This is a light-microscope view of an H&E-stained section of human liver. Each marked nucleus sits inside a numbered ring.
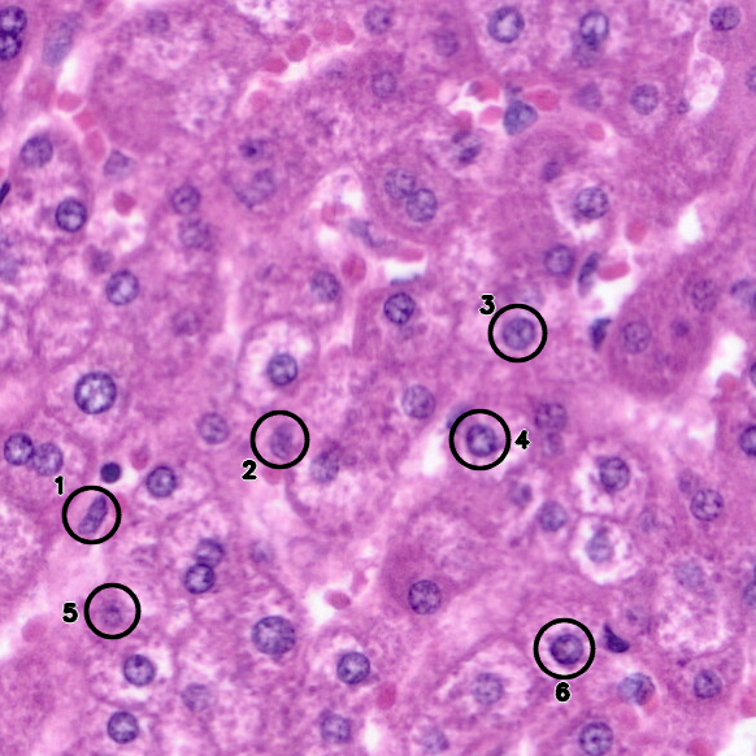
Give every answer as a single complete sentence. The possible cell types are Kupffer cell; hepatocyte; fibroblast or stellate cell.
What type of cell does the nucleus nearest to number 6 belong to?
Closest to number 6 lies the nucleus of a fibroblast or stellate cell.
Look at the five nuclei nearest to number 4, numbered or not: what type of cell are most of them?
Around number 4, most of the five nearest nuclei are those of hepatocytes.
